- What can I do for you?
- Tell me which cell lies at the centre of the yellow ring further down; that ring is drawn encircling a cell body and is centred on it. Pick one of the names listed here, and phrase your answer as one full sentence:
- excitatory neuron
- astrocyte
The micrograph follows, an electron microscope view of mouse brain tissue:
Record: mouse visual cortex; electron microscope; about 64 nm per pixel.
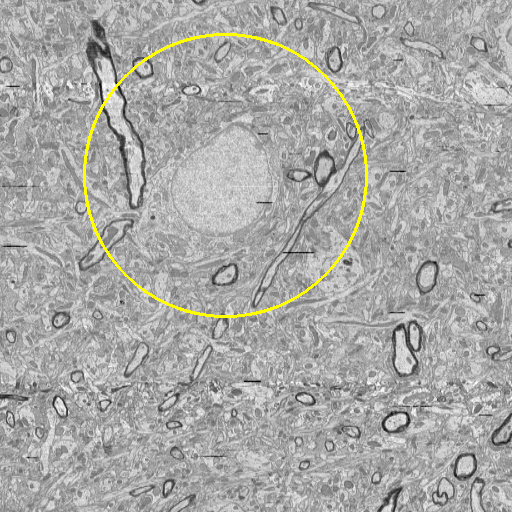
The cell whose body lies at the centre of the yellow ring is an astrocyte.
